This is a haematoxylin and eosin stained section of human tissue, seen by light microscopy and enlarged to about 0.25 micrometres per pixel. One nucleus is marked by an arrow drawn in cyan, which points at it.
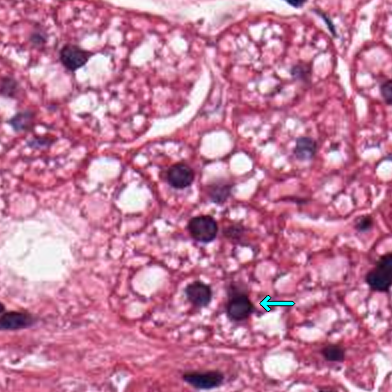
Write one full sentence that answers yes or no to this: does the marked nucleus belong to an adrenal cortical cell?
Yes, the marked nucleus belongs, in this section, to an adrenal cortical cell.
